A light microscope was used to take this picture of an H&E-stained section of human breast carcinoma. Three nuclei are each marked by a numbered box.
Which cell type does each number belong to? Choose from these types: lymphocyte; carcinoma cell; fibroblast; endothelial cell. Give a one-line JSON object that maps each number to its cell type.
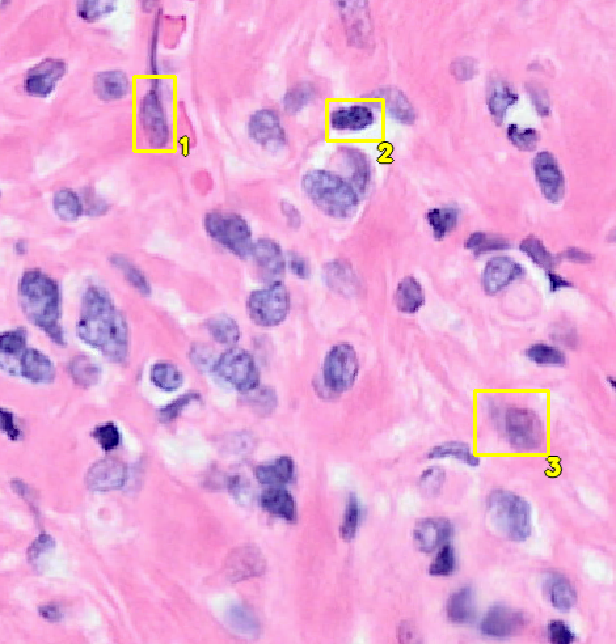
{"1": "endothelial cell", "2": "lymphocyte", "3": "fibroblast"}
